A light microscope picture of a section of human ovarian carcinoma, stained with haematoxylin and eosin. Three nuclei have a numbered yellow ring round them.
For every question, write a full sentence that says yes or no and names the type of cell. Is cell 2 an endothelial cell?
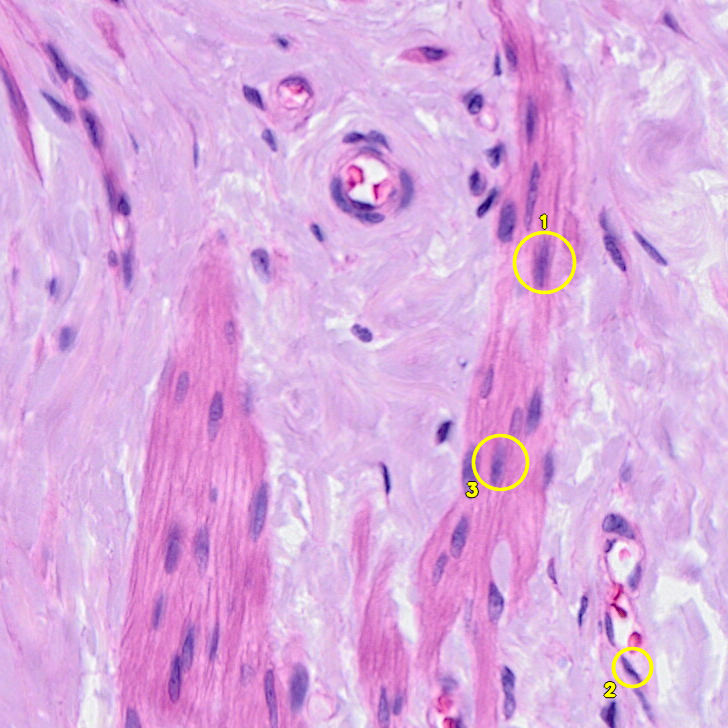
Yes, in this section the cell numbered 2 is an endothelial cell.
